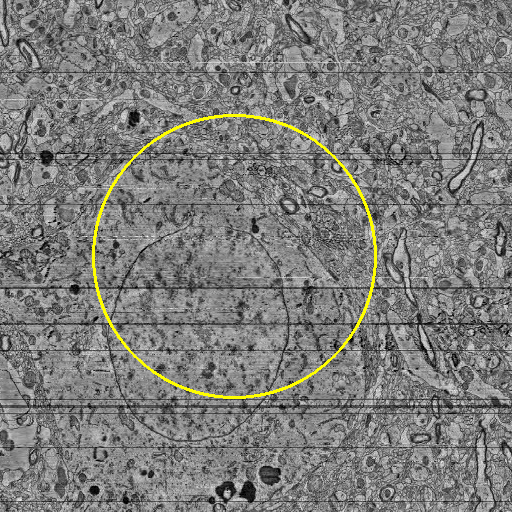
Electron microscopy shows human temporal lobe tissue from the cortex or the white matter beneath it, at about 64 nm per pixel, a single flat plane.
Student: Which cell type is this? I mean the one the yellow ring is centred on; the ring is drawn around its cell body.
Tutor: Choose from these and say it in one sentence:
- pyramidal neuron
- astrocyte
The cell the ring is centred on is a pyramidal neuron.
